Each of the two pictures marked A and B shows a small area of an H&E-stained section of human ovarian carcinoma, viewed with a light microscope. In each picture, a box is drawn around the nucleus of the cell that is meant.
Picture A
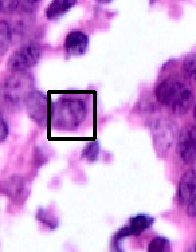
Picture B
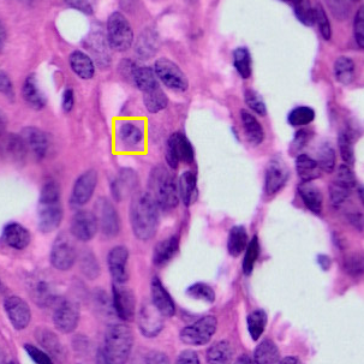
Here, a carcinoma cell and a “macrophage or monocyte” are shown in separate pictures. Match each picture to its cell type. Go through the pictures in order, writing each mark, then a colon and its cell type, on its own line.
A: carcinoma cell
B: macrophage or monocyte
